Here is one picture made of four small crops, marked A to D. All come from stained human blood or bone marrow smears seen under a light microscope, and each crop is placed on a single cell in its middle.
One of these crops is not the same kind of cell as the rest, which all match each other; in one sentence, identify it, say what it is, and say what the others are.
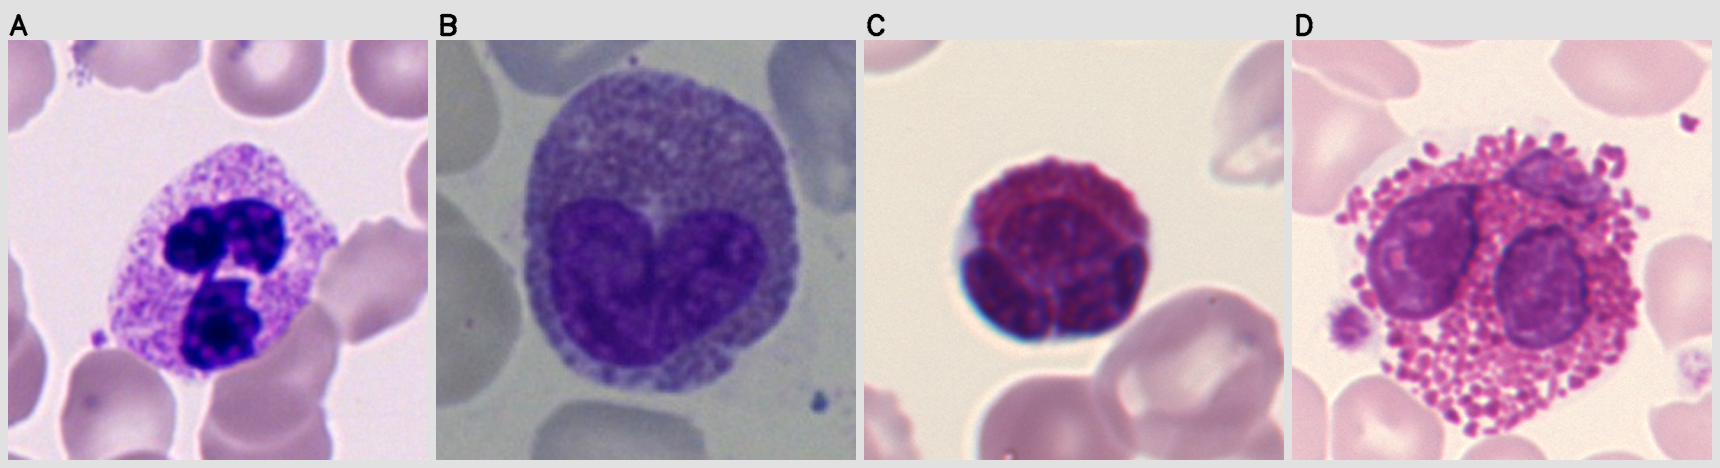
Crop A is the odd one out, being a segmented neutrophil, while all the other crops show eosinophils.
